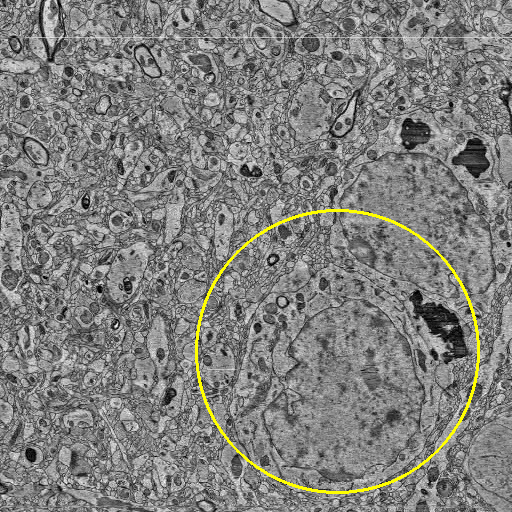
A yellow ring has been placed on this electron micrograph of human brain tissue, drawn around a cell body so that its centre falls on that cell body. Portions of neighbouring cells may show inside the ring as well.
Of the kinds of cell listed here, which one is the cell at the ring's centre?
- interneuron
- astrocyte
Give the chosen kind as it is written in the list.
interneuron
